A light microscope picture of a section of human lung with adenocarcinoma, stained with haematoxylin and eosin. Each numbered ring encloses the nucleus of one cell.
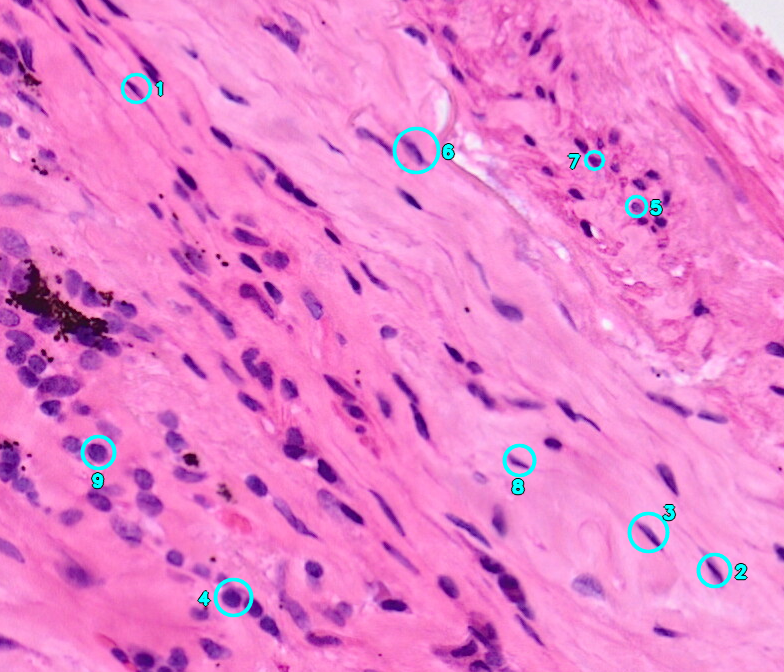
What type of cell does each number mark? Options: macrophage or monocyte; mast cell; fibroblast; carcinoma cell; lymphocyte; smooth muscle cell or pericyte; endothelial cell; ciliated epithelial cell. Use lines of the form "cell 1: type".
cell 1: fibroblast
cell 2: fibroblast
cell 3: fibroblast
cell 4: lymphocyte
cell 5: smooth muscle cell or pericyte
cell 6: fibroblast
cell 7: smooth muscle cell or pericyte
cell 8: fibroblast
cell 9: lymphocyte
